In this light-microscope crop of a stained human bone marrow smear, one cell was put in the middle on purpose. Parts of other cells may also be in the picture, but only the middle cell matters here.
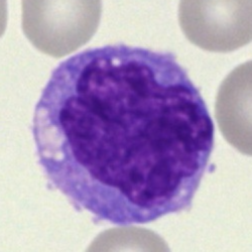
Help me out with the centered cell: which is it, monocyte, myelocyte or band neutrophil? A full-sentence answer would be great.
Centrally within this crop lies a monocyte.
